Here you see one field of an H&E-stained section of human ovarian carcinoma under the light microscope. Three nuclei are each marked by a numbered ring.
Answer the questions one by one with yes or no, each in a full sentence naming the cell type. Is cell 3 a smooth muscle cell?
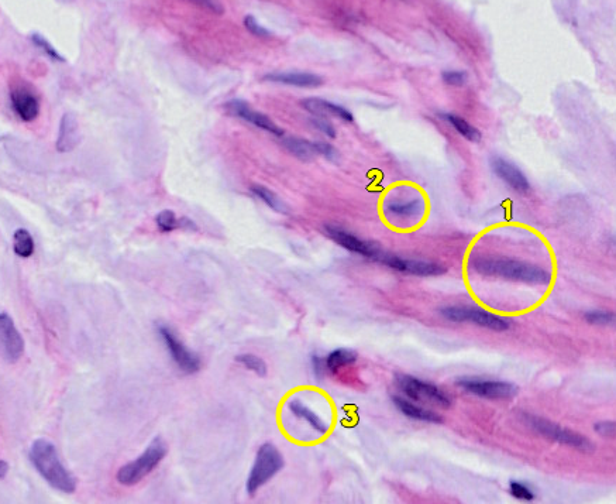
No, the cell bearing the number 3 is a fibroblast, not a smooth muscle cell.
